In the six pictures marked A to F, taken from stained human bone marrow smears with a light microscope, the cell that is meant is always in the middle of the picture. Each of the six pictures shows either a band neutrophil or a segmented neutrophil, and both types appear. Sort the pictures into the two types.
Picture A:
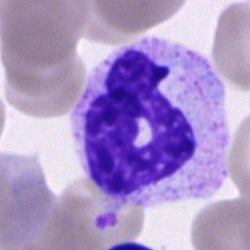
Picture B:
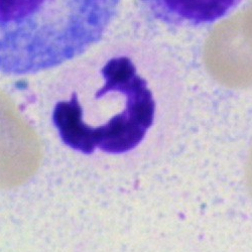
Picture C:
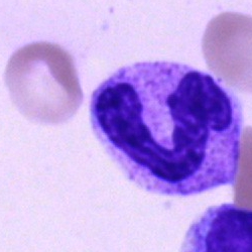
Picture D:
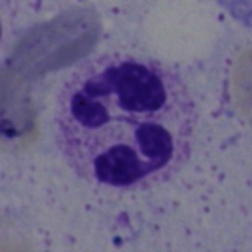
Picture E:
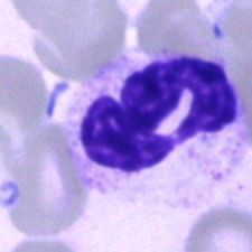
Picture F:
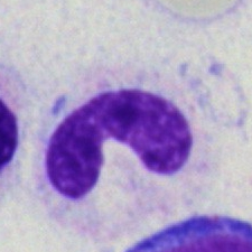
A: band neutrophil
B: segmented neutrophil
C: band neutrophil
D: segmented neutrophil
E: segmented neutrophil
F: band neutrophil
